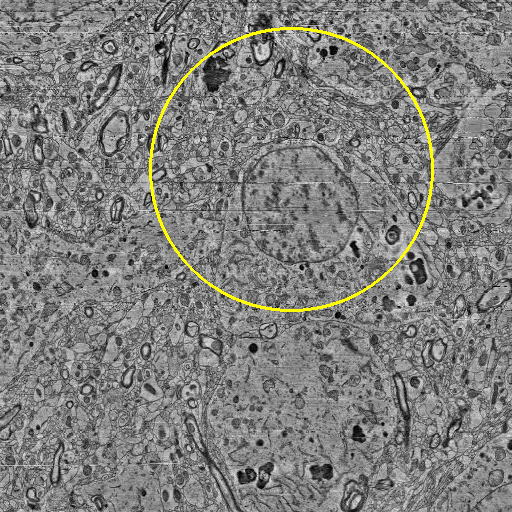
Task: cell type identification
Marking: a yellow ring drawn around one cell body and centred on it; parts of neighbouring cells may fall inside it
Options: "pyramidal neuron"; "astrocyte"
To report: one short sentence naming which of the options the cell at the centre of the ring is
The cell at the centre of the ring is a pyramidal neuron.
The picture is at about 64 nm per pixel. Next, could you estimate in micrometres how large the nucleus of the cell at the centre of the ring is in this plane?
About 8 micrometers across, in this plane.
